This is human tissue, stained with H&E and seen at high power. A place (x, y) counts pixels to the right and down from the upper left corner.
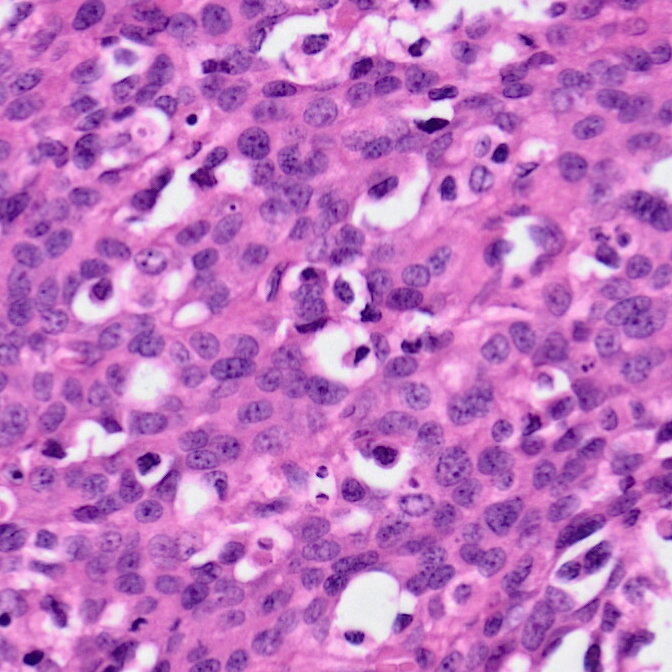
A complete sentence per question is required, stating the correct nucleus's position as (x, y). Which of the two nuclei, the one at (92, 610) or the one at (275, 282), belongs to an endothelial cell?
Among the two nuclei, the one lying at (275, 282) is part of an endothelial cell.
